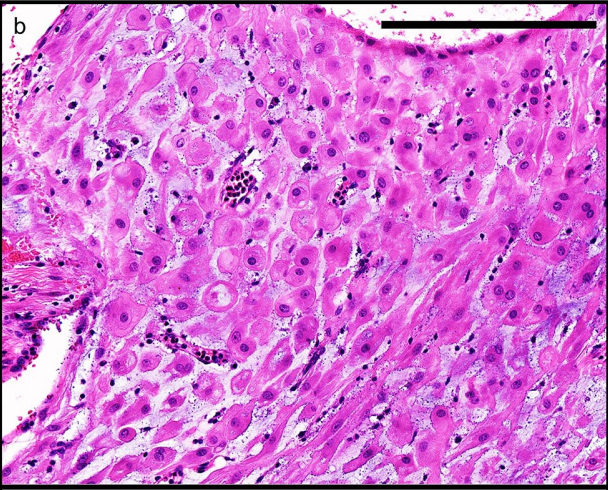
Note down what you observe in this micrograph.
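Sheets of decidual cells fill the field. The cells are large and polygonal, with abundant pink, eosinophilic cytoplasm and sharp borders between neighbours. Each has a round, fairly uniform nucleus lying near the centre of the cell, many with a visible small nucleolus. Toward the lower right the cells become more elongated and lie in streaming rows. Scattered small dark inflammatory cells and granular debris lie between the decidual cells, and a small cluster of such cells sits near the centre. Along the top and left edges a thin lining and loose connective tissue border the sheet.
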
